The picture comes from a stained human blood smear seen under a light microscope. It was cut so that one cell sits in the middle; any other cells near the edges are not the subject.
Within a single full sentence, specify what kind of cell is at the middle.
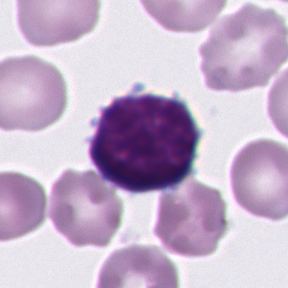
The centered cell in this crop is a lymphocyte.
